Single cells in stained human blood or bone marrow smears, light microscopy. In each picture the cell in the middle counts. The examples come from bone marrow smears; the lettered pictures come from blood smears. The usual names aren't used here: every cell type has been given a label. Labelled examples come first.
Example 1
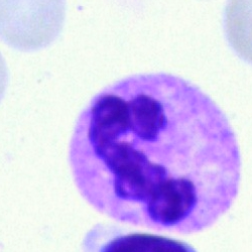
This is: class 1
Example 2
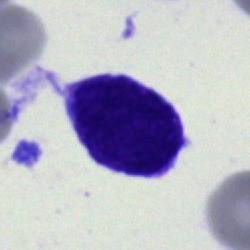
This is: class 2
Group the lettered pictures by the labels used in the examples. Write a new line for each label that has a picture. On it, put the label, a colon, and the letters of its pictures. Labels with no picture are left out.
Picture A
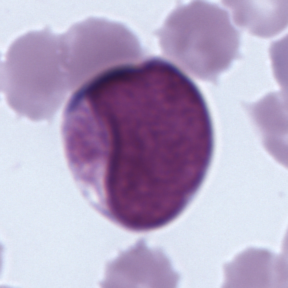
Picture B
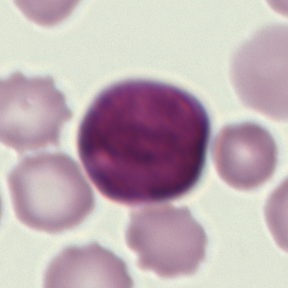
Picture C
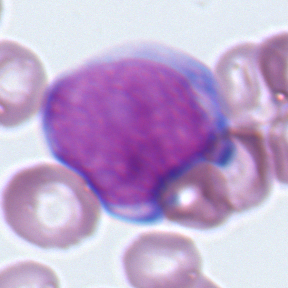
class 2: A, B, C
